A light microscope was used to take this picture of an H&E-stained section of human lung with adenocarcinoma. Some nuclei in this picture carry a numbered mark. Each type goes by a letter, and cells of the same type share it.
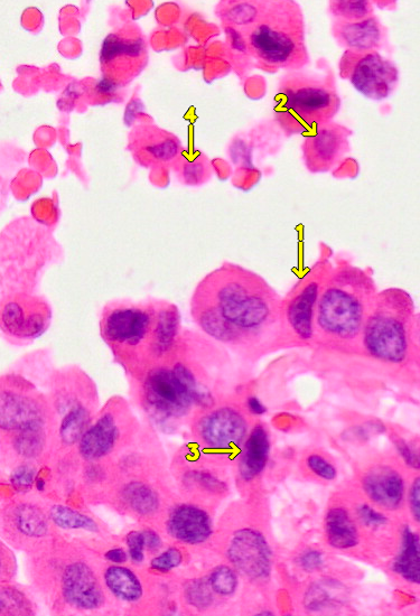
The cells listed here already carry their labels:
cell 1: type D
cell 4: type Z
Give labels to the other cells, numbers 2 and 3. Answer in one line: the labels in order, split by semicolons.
type Z; type D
